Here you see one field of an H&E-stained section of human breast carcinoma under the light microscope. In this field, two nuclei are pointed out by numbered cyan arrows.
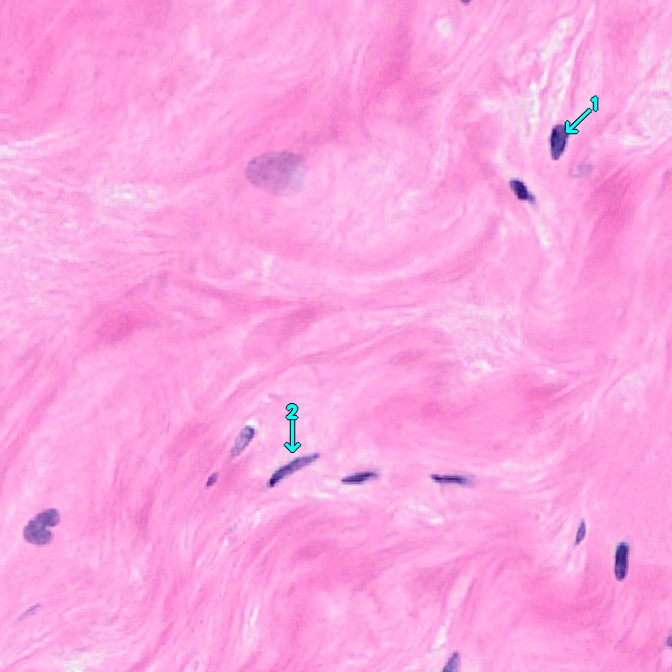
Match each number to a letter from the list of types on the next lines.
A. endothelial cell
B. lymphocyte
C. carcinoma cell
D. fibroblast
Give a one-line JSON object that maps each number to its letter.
{"1": "B", "2": "D"}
